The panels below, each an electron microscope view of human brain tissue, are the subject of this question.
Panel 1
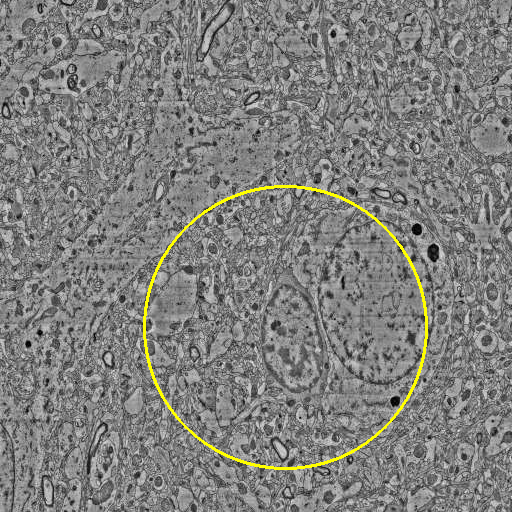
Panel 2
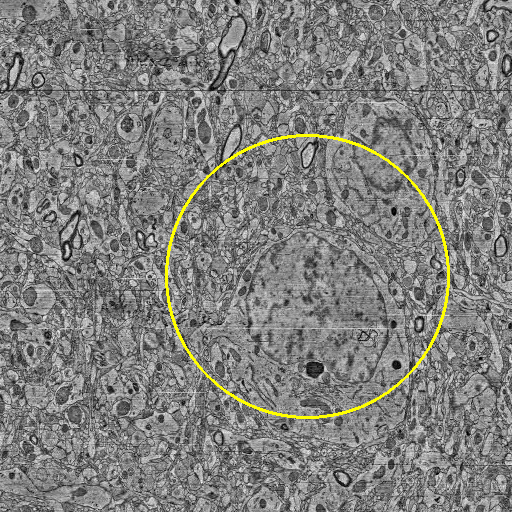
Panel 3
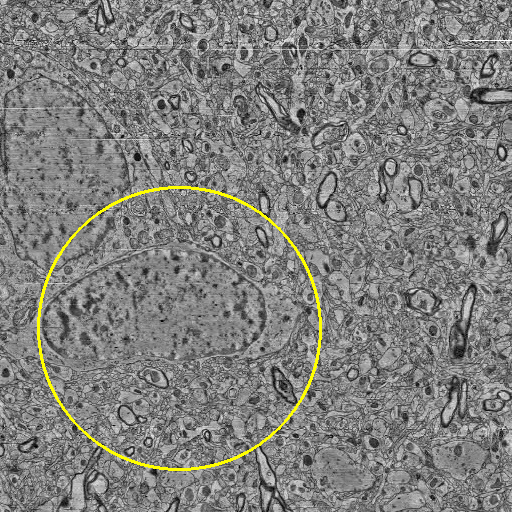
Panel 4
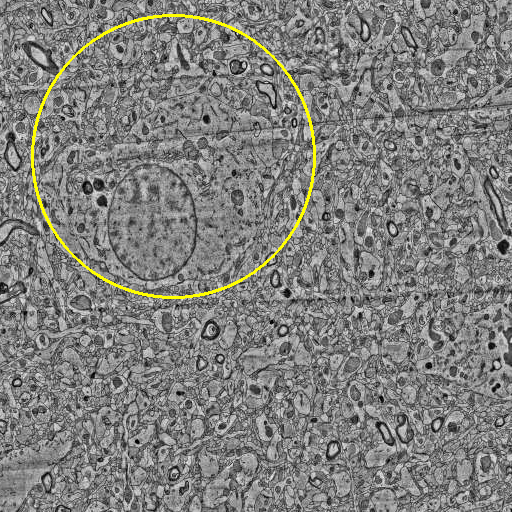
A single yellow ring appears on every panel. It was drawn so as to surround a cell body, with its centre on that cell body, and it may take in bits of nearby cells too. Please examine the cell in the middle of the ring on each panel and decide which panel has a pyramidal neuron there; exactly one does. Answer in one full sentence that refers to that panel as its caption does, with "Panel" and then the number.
Panel 4 is where the ring's central cell answers the question.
